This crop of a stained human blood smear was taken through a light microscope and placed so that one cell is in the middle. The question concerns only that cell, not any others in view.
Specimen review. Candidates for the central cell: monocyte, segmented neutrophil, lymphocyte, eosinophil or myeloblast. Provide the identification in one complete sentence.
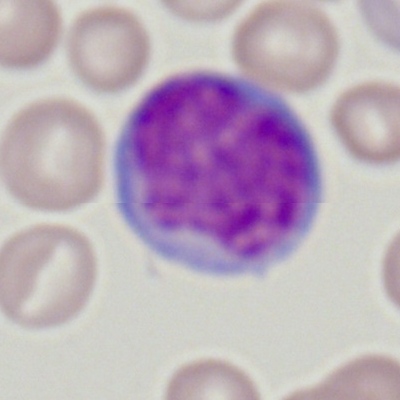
The centrally placed cell is classified as a monocyte.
